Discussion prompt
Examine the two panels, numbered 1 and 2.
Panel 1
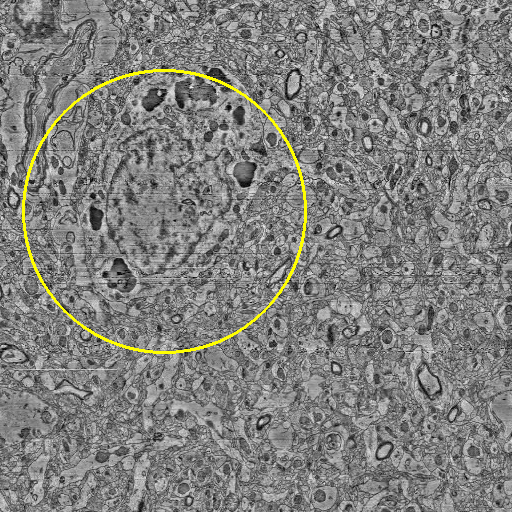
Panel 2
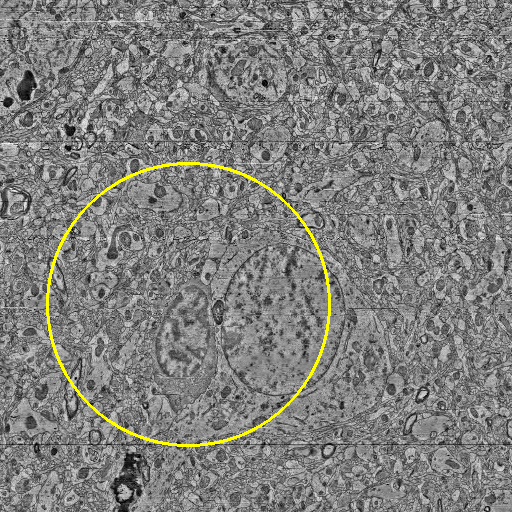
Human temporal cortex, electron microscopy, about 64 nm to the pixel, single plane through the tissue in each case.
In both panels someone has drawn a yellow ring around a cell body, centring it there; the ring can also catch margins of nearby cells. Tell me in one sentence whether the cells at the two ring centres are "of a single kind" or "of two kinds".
Taken together, the two cells centred in the rings of Panels 1 and 2 are of two kinds.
